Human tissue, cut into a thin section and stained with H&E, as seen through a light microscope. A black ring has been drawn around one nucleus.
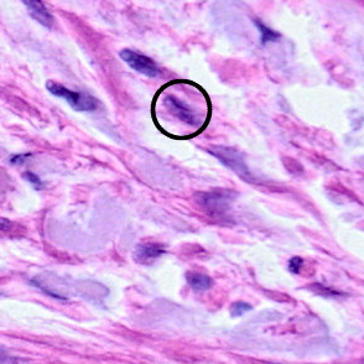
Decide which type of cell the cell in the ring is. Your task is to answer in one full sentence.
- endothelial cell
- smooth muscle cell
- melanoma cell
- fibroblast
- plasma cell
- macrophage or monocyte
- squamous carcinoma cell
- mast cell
In this tissue section, the cell in the ring is to be classed as a fibroblast.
